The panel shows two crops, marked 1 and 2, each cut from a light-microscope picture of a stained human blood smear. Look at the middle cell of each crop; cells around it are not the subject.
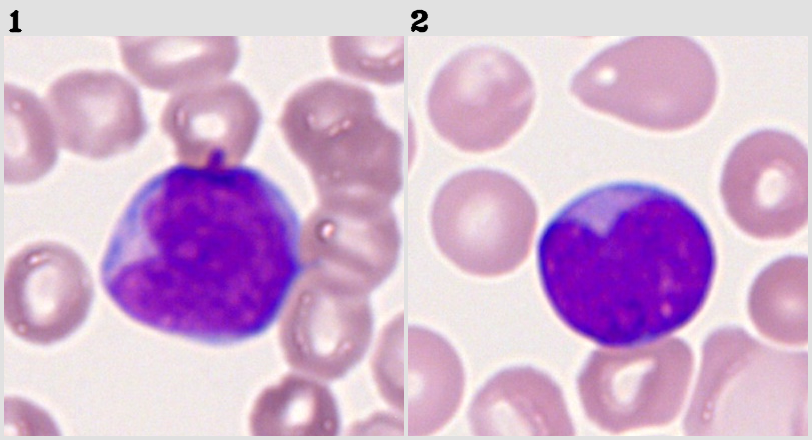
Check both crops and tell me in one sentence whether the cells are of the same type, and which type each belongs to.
Yes, both crops show blasts as their central cells.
